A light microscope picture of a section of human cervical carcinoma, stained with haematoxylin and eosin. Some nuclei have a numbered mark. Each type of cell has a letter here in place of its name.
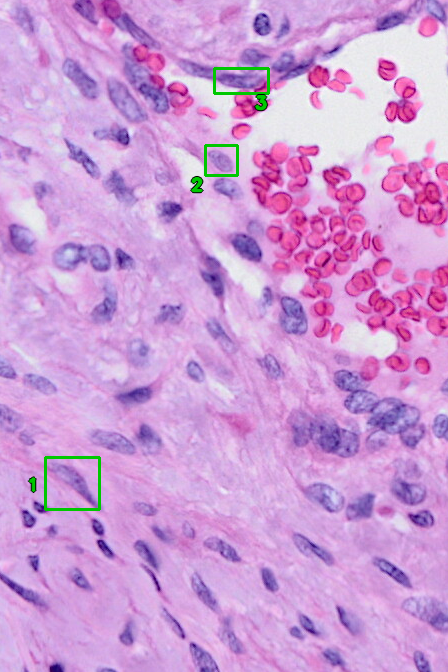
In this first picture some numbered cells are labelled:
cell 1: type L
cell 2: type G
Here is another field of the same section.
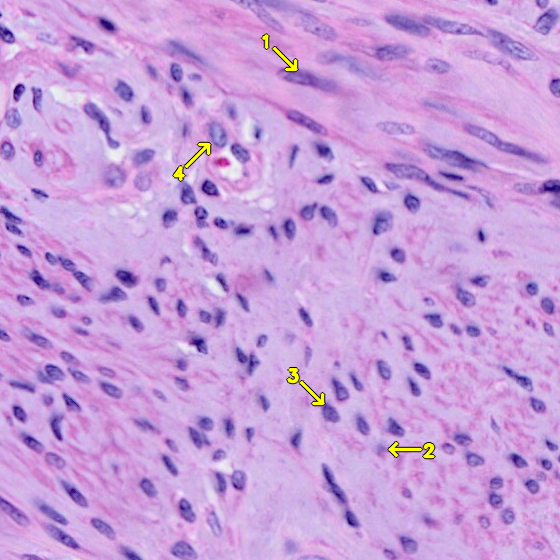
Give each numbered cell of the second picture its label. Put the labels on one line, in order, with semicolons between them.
type L; type L; type L; type G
